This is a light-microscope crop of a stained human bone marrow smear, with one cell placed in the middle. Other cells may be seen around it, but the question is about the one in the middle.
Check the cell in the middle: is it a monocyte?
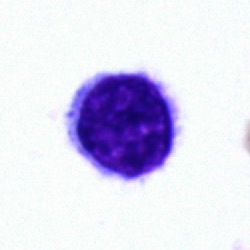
no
